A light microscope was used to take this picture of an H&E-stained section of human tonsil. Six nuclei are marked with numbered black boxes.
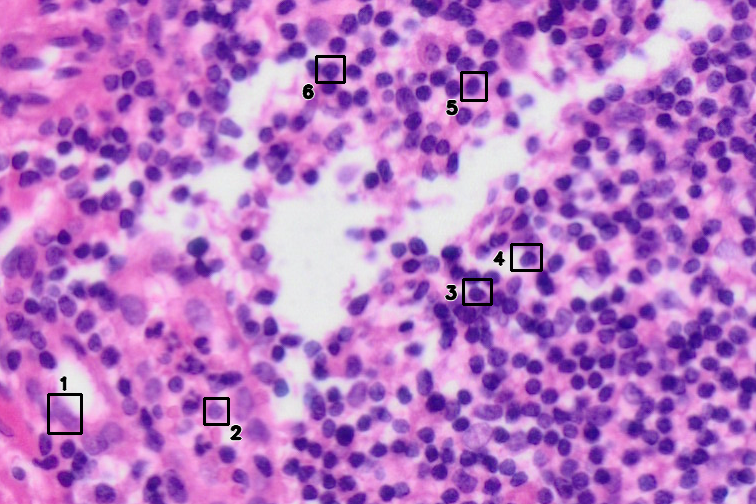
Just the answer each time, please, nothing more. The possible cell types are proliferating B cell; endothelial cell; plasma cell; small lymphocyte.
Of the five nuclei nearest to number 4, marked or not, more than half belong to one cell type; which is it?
small lymphocyte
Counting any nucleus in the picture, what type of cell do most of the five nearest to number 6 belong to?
small lymphocyte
